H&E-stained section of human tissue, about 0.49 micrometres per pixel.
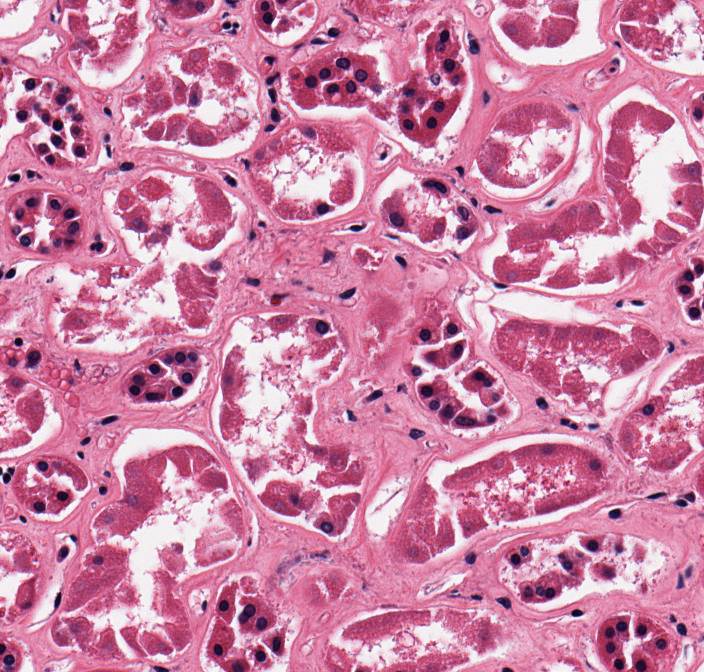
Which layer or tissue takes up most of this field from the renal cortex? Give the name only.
cortical labyrinth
